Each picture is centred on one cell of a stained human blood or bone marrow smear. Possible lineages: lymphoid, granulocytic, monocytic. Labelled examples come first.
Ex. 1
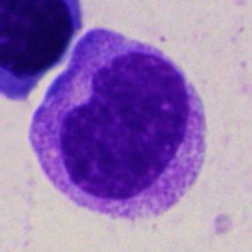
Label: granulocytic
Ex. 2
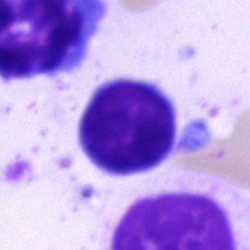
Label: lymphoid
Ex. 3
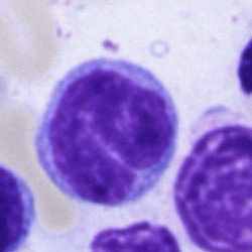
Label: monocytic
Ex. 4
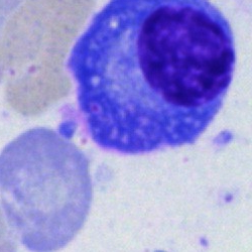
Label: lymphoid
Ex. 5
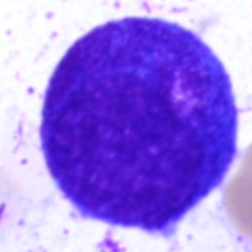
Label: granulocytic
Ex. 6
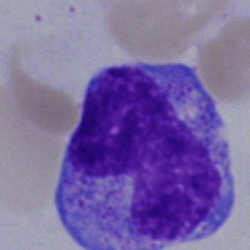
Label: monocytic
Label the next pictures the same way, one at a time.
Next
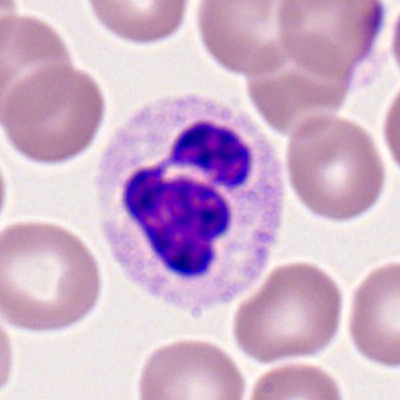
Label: granulocytic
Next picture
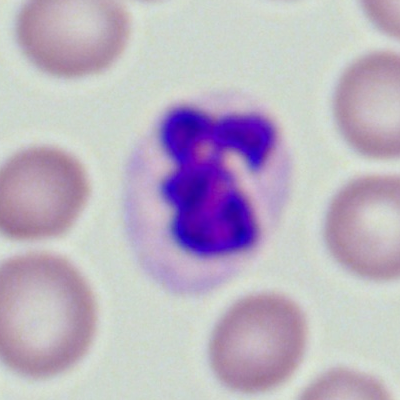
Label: granulocytic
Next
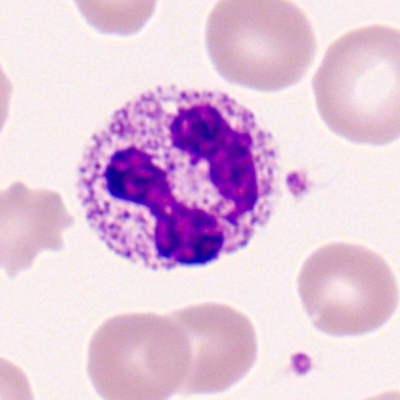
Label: granulocytic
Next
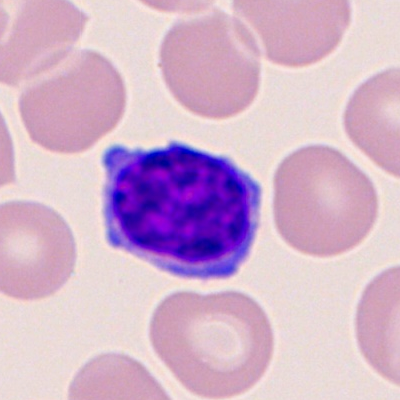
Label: lymphoid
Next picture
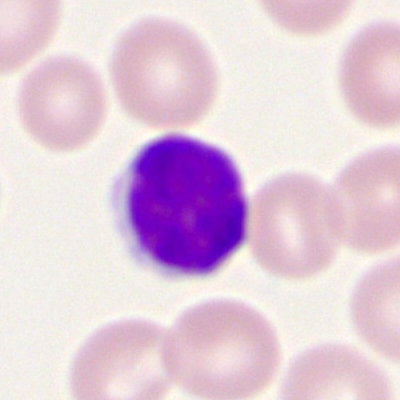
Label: lymphoid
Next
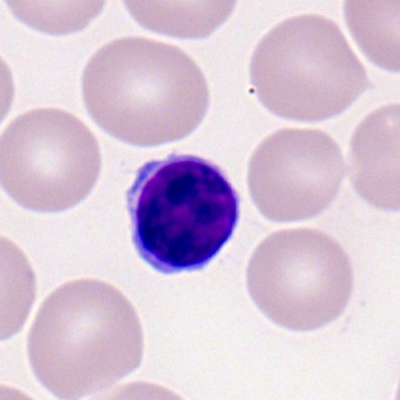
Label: lymphoid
